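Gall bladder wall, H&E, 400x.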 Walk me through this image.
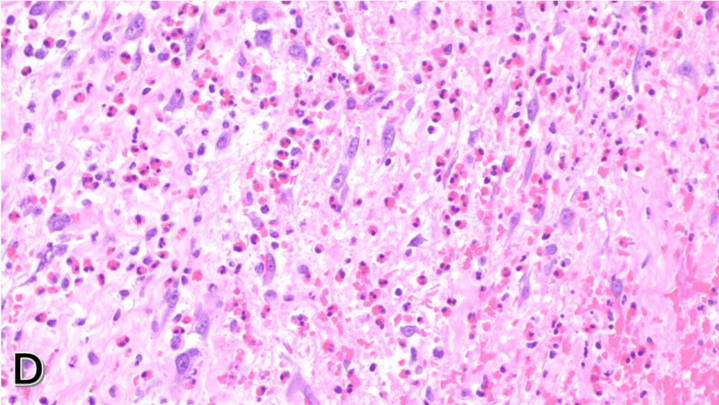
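Loose, pale pink, oedematous stroma is crowded with inflammatory cells whose cytoplasm is packed with bright red-orange granules and whose nuclei are small and lobed. Scattered among them are larger spindle-shaped and plump stromal cells with oval nuclei, along with some red blood cells.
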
